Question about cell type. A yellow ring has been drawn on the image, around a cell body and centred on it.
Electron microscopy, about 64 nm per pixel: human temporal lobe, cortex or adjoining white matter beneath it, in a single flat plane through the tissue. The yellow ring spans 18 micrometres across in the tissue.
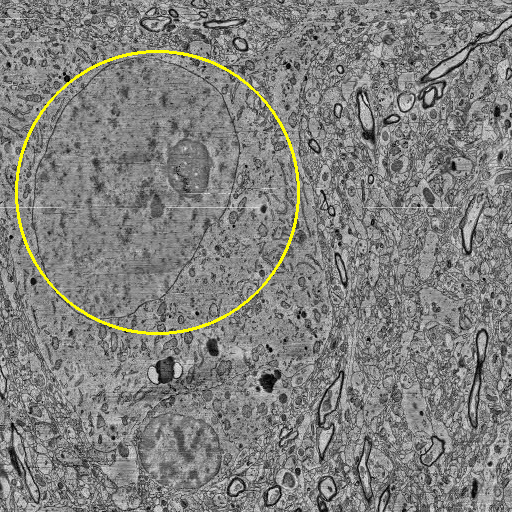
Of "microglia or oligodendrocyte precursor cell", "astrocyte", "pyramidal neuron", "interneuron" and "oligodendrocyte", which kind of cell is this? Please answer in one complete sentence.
At the centre of the ring lies a pyramidal neuron.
